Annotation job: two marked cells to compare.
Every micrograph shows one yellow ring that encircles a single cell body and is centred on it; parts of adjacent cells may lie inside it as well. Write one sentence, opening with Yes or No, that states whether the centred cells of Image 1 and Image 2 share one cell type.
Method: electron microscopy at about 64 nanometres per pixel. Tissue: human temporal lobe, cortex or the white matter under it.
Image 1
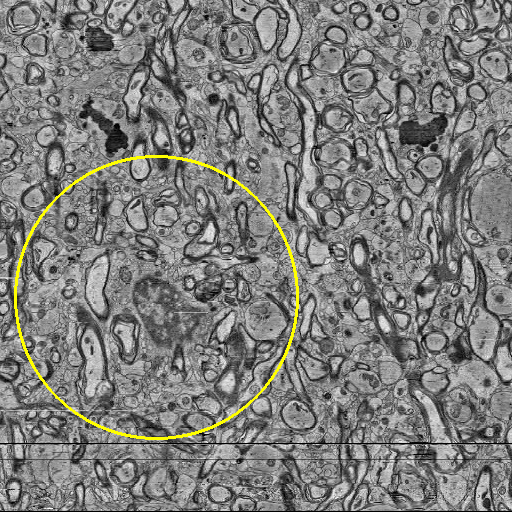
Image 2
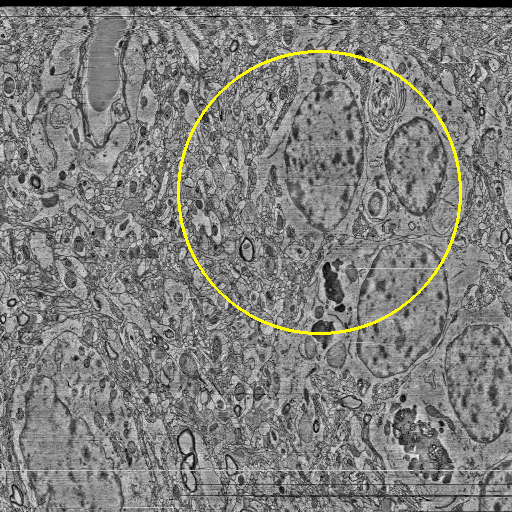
No, the cell centred in Image 1 and the cell centred in Image 2 are of two types.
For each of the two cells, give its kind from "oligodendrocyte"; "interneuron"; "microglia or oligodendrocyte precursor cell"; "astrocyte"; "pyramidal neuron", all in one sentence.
The first picture has an oligodendrocyte in its ring, the second has an astrocyte.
